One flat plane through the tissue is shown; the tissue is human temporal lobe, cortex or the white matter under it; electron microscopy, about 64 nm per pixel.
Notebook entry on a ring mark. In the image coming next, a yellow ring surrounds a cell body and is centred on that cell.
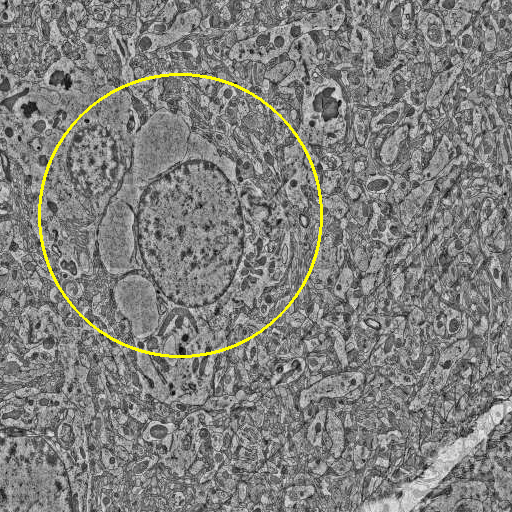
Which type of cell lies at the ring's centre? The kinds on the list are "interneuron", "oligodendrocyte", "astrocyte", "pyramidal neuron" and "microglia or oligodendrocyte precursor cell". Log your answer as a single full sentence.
Centred in the yellow ring is an astrocyte, the cell recorded for this image.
